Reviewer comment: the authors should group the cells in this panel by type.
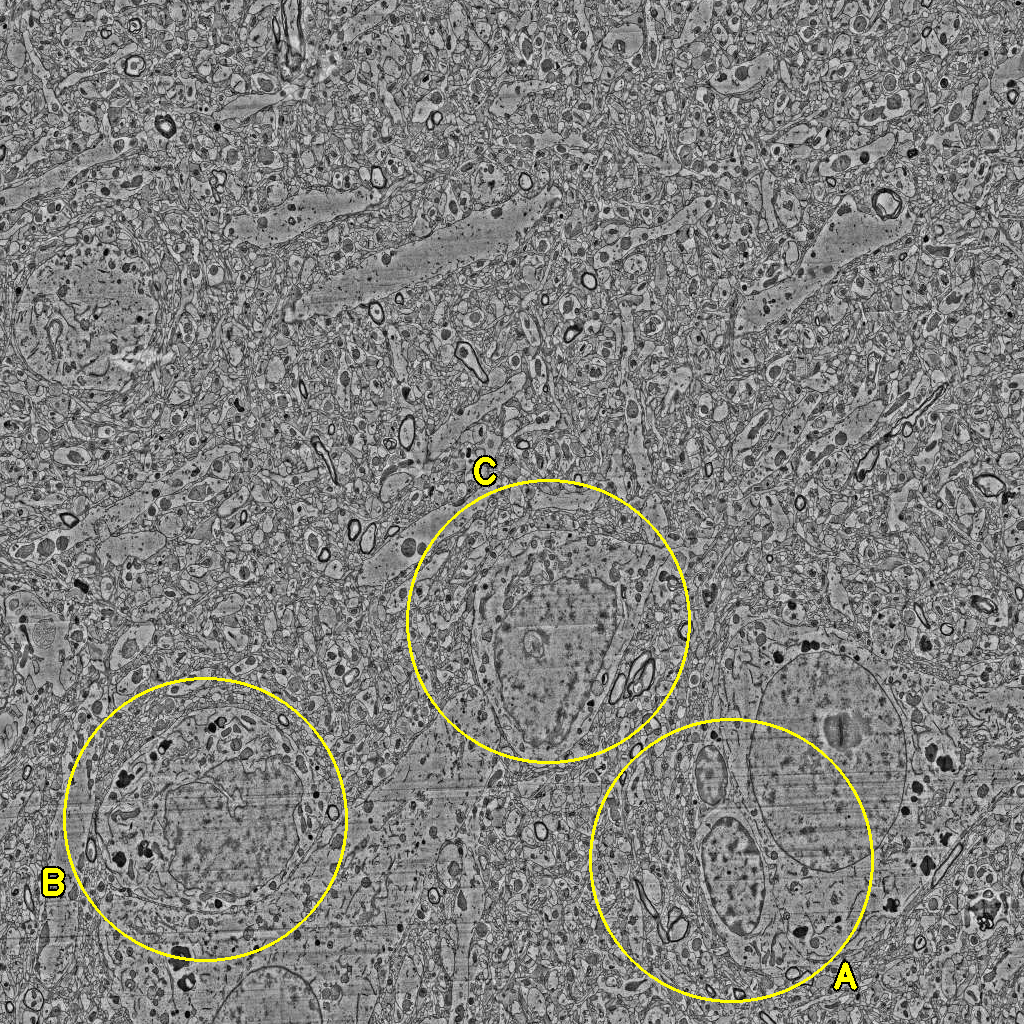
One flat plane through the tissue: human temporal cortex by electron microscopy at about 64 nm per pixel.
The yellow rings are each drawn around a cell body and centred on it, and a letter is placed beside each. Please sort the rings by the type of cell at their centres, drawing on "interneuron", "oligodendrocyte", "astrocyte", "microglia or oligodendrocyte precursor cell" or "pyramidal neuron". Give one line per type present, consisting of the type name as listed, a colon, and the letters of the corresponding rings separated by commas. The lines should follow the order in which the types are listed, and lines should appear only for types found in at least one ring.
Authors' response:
interneuron: B, C
microglia or oligodendrocyte precursor cell: A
